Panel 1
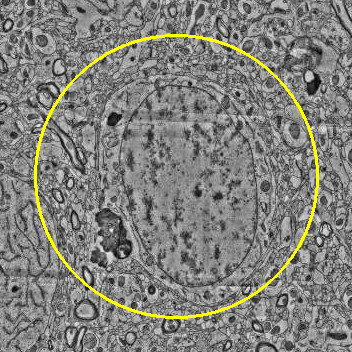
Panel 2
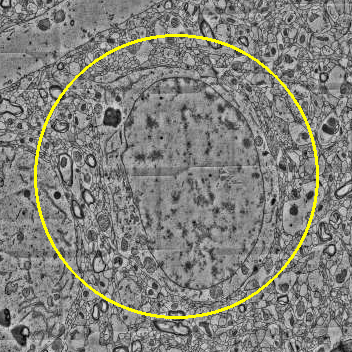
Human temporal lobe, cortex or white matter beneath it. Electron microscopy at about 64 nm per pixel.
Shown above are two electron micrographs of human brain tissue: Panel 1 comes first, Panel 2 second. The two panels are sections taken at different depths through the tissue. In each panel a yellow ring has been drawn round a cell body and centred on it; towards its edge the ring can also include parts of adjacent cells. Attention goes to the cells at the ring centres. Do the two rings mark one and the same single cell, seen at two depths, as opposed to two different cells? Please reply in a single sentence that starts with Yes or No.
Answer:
Yes, the second ring marks the same cell as the first.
